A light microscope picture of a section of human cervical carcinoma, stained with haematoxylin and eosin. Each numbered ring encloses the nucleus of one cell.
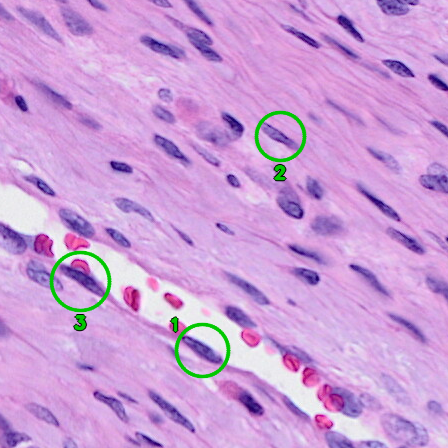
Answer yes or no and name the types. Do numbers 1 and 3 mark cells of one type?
Yes, and to be precise, cells 1 and 3 are both endothelial cells.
